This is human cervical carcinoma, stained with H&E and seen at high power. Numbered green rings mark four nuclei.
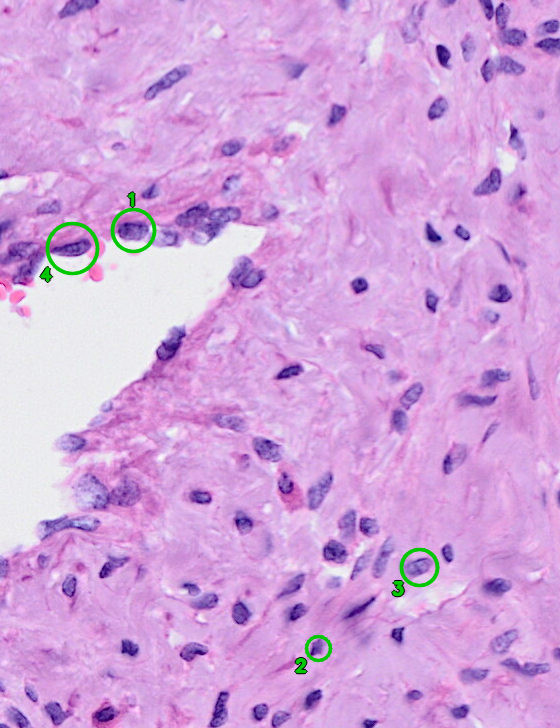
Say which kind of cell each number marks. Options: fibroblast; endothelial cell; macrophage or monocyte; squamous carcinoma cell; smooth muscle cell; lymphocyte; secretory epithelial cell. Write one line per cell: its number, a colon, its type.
1: endothelial cell
2: fibroblast
3: fibroblast
4: endothelial cell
